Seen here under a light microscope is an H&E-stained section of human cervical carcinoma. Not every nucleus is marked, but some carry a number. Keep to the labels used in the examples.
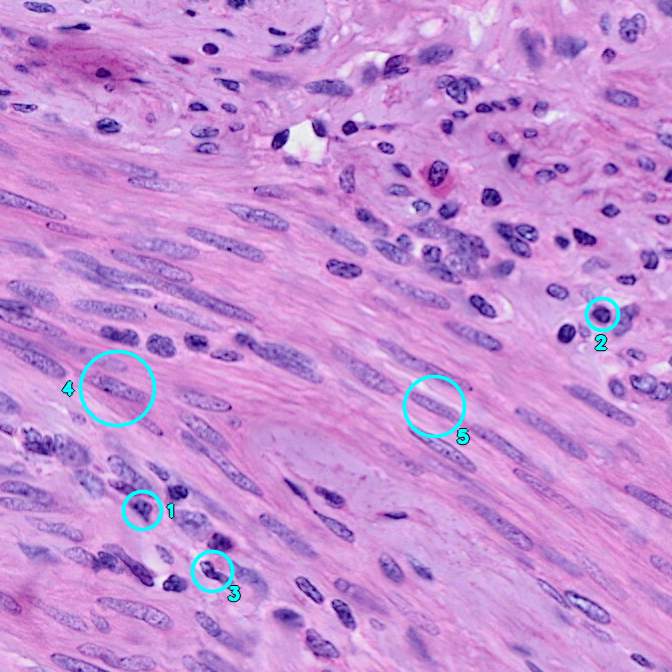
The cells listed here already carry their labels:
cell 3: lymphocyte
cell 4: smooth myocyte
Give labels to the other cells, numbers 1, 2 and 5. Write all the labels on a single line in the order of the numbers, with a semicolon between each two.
lymphocyte; lymphocyte; smooth myocyte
